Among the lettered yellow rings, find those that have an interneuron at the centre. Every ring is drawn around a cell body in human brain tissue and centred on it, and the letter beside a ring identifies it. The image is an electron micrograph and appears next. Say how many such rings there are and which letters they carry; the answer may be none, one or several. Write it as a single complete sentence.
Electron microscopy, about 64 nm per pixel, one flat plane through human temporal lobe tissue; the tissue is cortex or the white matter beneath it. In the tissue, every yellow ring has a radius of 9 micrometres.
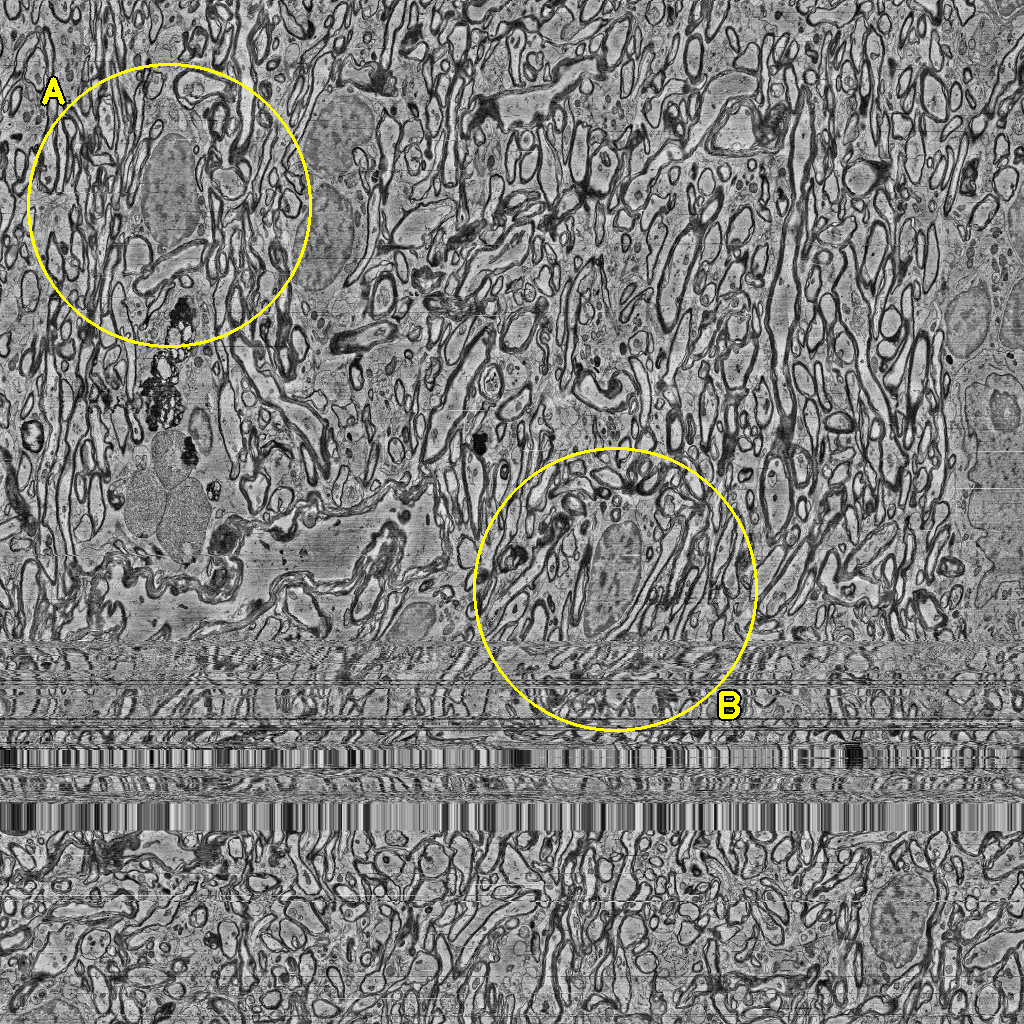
Looking across all the lettered rings, none is centred on an interneuron, so the count is zero.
